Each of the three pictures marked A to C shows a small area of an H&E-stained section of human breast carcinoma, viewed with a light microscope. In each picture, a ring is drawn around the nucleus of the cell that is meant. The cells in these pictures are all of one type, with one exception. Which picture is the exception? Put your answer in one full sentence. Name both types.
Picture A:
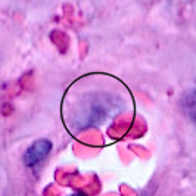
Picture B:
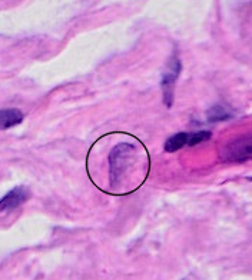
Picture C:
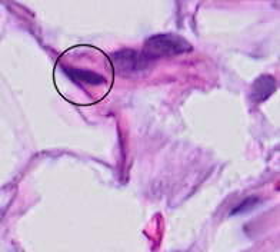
The others show endothelial cells, but picture B shows a fibroblast.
